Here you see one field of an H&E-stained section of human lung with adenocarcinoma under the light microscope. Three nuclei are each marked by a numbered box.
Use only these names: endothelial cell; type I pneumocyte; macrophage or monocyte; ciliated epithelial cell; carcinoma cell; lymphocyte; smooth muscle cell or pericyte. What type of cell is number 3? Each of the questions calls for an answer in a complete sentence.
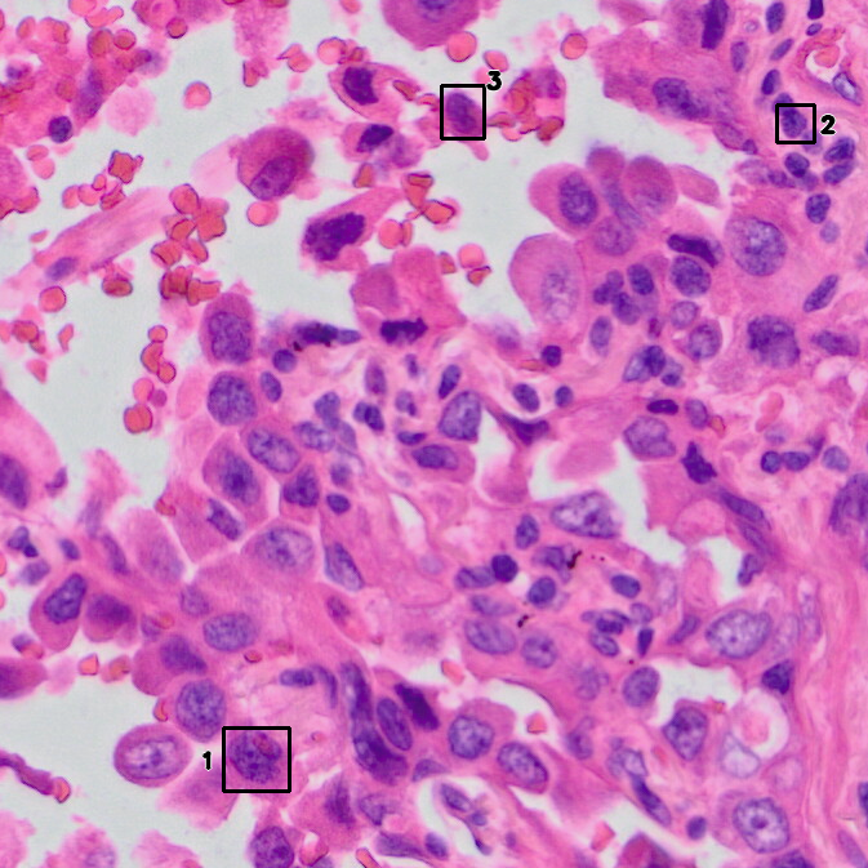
The correct answer for cell 3 is a macrophage or monocyte.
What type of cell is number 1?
The expected answer is that cell 1 is a carcinoma cell.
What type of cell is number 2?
Heads up, the cell numbered 2 is a lymphocyte.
